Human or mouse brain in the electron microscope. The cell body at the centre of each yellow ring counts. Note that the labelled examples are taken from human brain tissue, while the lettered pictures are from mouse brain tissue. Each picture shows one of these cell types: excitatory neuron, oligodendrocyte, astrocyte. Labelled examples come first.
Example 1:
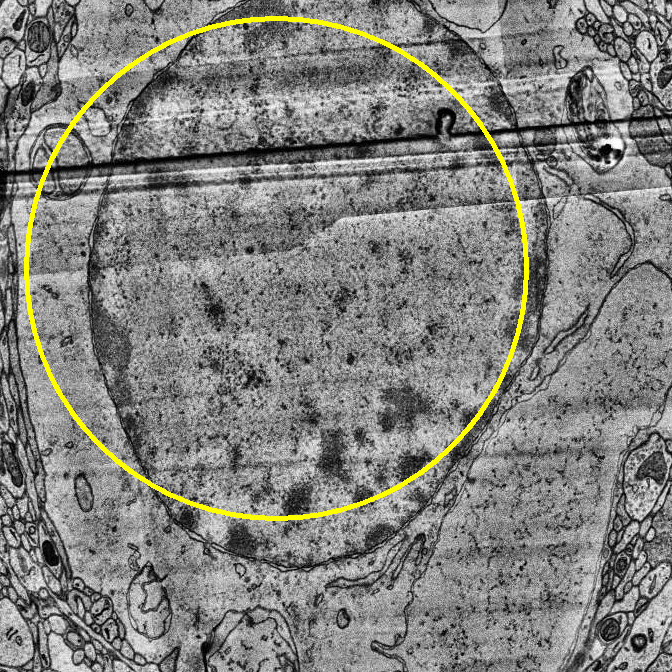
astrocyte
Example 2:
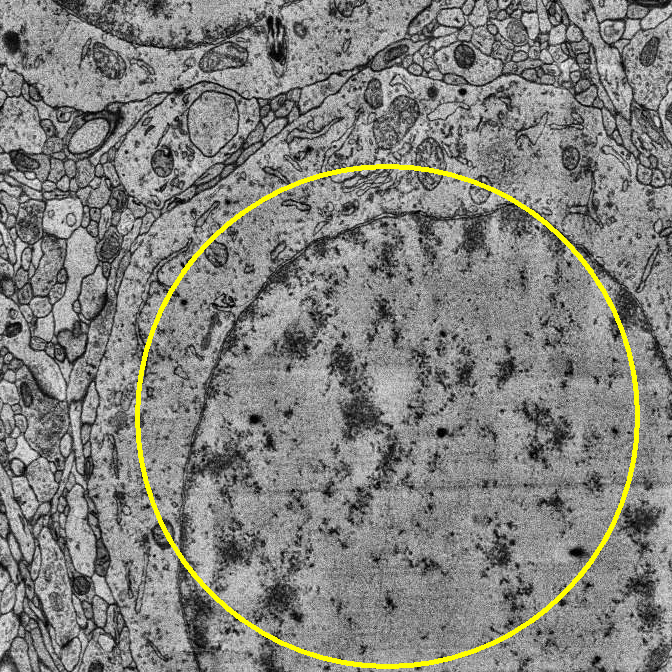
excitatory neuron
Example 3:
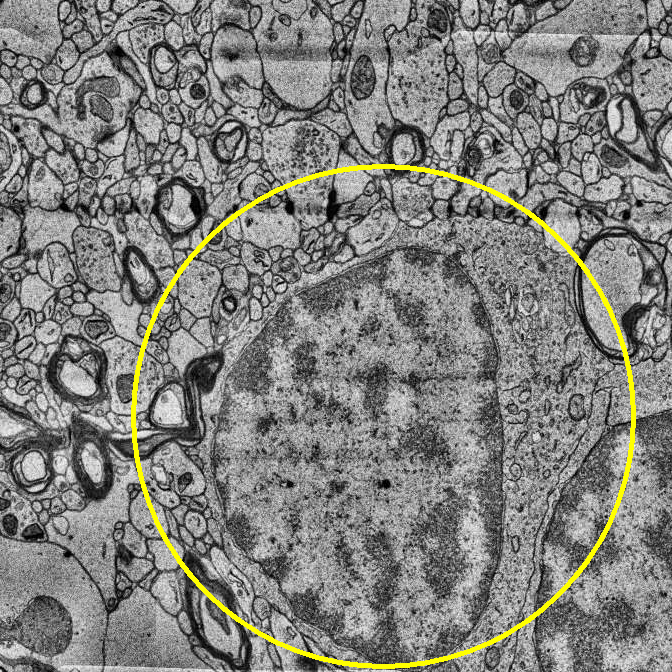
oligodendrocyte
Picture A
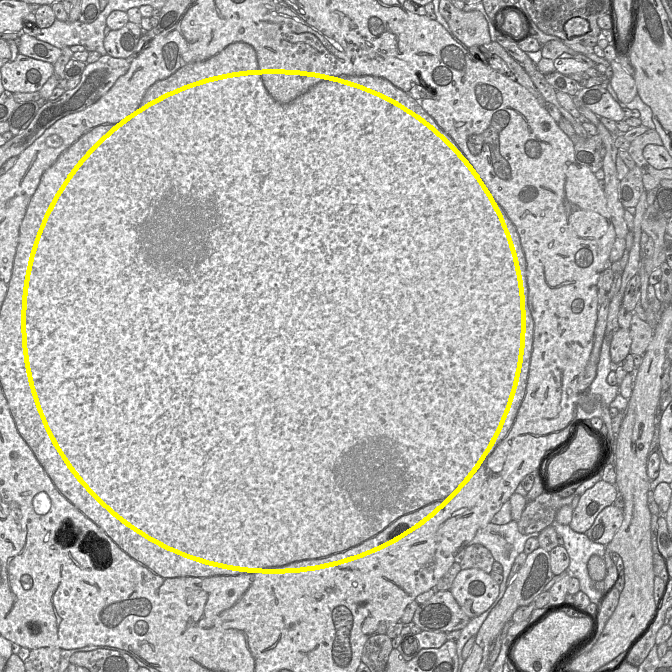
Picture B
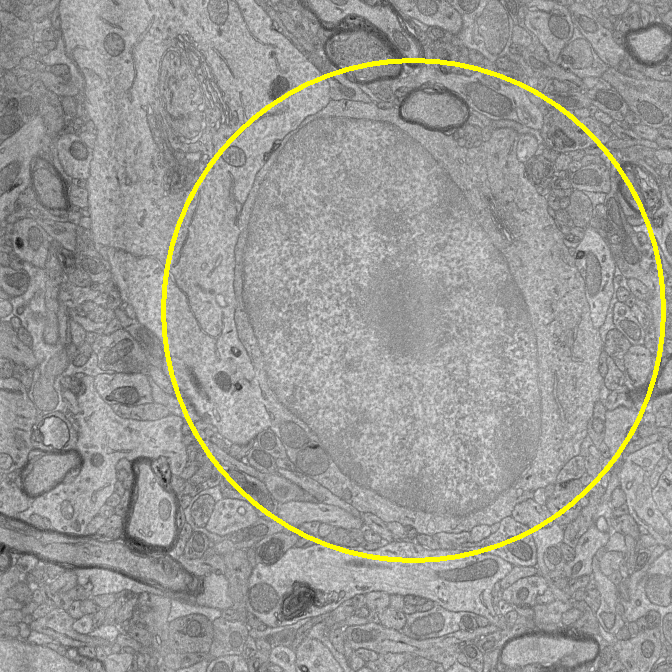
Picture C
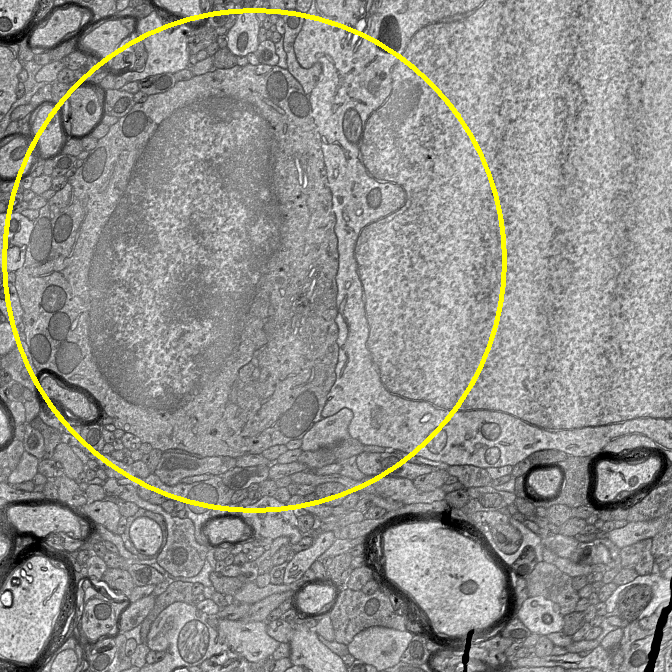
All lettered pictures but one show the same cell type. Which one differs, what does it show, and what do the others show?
A (excitatory neuron) is the exception; every other picture is oligodendrocyte.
